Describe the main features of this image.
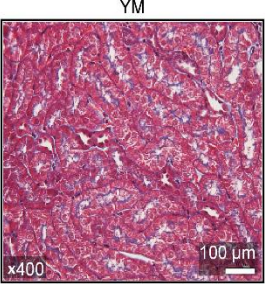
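Kidney cortex in which tubules are packed tightly side by side, their epithelial cells staining an even deep red with small dark nuclei and narrow clear lumina. Between neighbouring tubules there are only thin lines of tissue, with barely any blue colour to be seen, so the interstitium is slender and the tubules touch almost everywhere. No broad blue bands, dilated tubules or clusters of cells in the spaces between tubules are evident.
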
